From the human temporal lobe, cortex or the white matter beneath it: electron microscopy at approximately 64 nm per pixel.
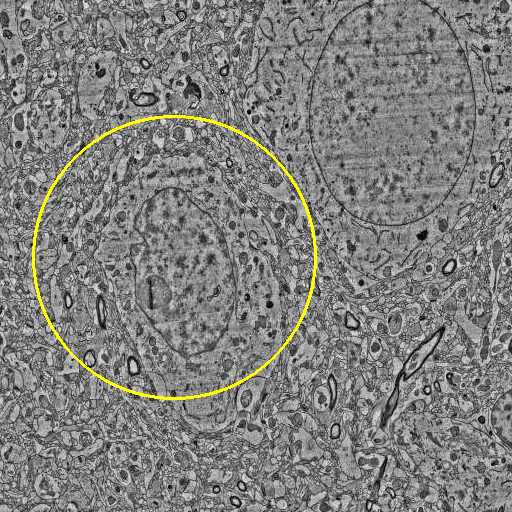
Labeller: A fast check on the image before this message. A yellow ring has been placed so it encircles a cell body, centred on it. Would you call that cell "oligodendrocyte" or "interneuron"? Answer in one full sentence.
In this image, an interneuron is the cell on which the yellow ring is centred.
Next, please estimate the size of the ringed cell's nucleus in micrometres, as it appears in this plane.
Roughly 11 micrometres by 7 micrometres, so the nucleus is clearly longer than it is wide in this plane.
